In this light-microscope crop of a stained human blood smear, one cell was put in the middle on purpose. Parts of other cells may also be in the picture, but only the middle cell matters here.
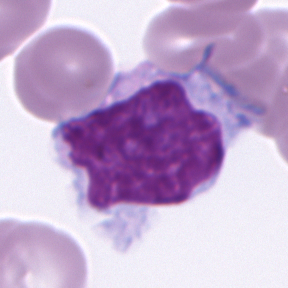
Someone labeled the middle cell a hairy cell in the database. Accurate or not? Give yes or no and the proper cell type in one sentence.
Yes, the middle cell is classified as a hairy cell.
